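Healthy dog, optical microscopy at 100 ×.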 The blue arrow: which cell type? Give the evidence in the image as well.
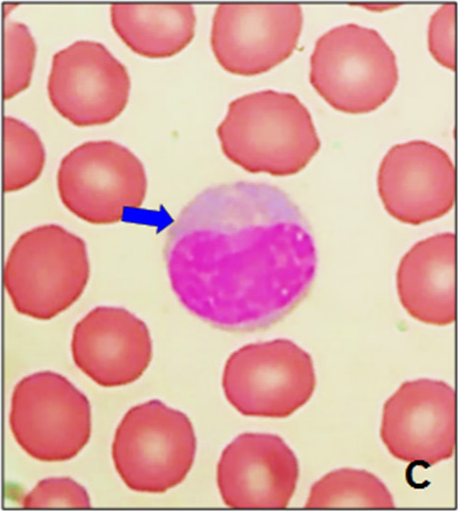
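The marked cell is clearly larger than the surrounding red cells. A broad rim of pale bluish-grey cytoplasm lies above the nucleus. On this evidence: Large lymphocyte.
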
